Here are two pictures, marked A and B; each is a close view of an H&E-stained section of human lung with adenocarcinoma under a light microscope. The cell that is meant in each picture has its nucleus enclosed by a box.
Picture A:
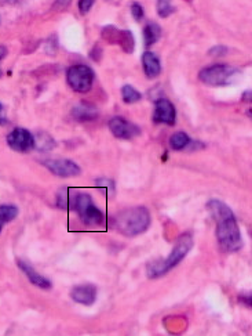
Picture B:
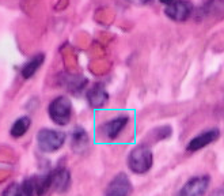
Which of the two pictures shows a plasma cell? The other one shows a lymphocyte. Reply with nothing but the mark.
A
